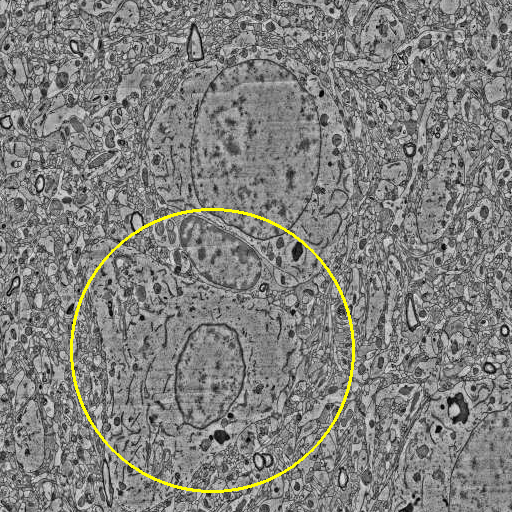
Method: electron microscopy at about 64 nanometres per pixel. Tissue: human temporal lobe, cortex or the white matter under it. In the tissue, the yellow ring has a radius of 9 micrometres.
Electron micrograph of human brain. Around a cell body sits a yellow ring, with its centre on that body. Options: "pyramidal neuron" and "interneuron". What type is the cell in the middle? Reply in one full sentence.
The cell sitting at the centre of the yellow ring is a pyramidal neuron.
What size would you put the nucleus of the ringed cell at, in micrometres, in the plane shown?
About 7 by 5 micrometers for the nucleus, in this plane.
